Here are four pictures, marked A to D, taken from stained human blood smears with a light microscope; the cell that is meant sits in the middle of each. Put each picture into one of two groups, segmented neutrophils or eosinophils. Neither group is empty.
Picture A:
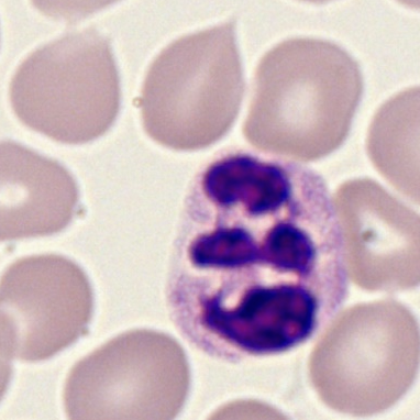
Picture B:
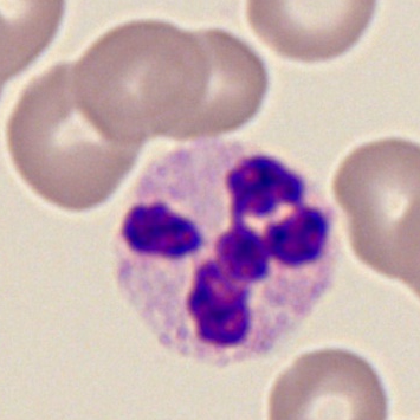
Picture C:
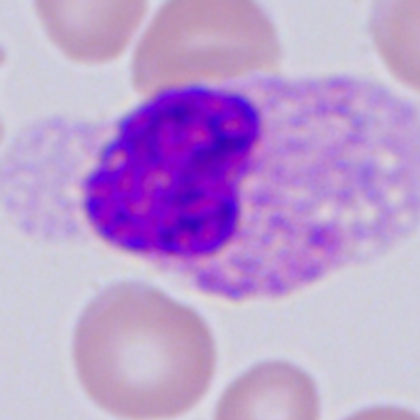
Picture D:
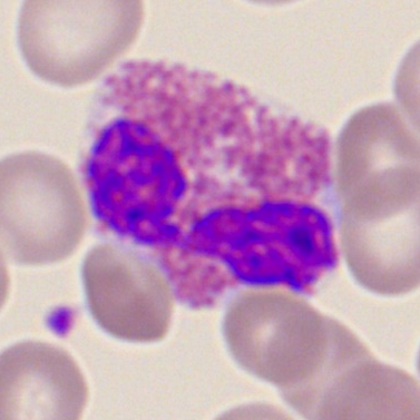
A: segmented neutrophil
B: segmented neutrophil
C: segmented neutrophil
D: eosinophil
